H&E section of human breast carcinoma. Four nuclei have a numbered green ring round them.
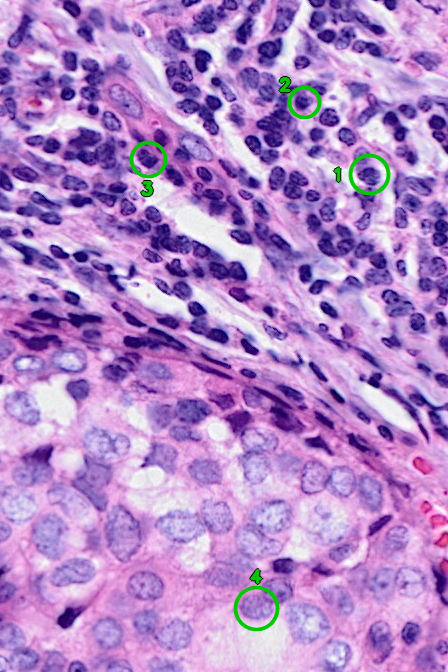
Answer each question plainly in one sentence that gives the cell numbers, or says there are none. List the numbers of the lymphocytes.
The cells numbered 1, 2 and 3 fall into the category of lymphocytes.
